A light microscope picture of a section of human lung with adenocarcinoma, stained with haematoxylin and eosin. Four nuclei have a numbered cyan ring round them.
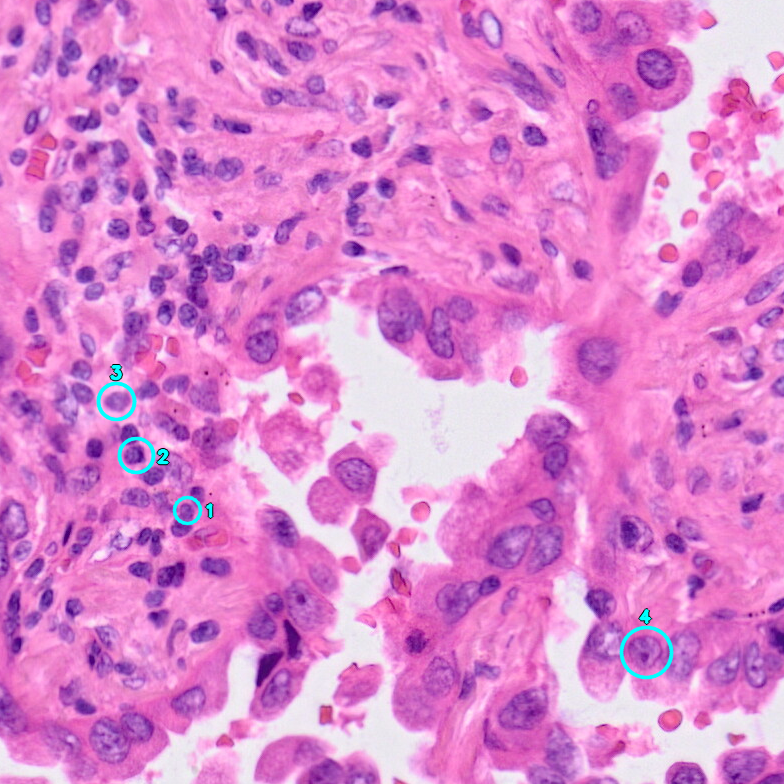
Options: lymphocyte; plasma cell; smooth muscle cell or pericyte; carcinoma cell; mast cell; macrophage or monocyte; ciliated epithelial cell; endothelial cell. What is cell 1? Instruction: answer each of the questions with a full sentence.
The cell marked with number 1 is a lymphocyte.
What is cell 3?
The cell bearing label 3 corresponds to a lymphocyte.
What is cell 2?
The cell given label 2 is a lymphocyte.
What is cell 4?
The nucleus labelled 4 belongs to a carcinoma cell.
